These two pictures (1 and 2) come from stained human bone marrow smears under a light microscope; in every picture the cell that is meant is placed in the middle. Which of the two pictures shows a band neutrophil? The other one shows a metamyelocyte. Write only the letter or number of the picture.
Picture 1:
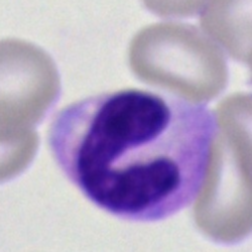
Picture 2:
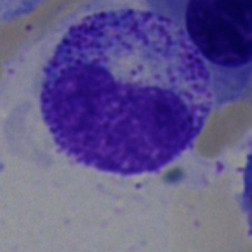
1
